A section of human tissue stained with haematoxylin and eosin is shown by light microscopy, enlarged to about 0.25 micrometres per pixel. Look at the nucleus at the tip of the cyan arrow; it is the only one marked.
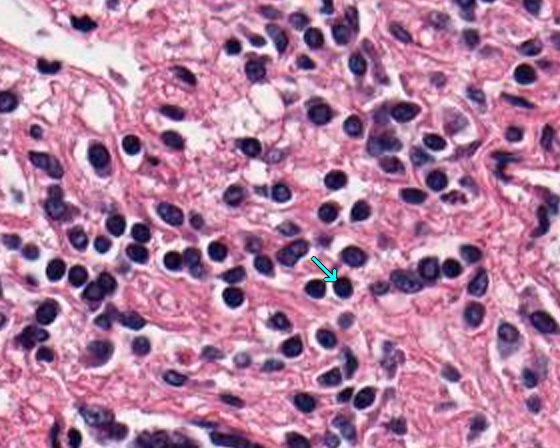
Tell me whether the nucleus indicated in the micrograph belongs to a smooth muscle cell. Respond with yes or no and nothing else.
no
